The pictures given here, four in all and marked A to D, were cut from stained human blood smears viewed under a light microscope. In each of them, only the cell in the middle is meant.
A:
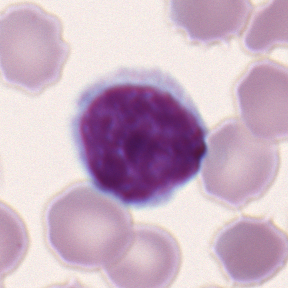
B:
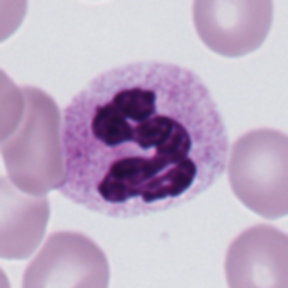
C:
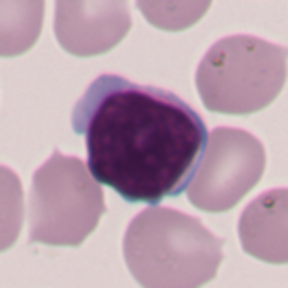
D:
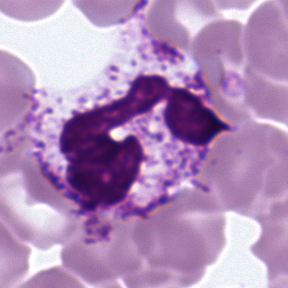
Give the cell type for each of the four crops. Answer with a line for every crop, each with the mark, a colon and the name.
A: lymphocyte
B: neutrophil
C: lymphocyte
D: neutrophil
